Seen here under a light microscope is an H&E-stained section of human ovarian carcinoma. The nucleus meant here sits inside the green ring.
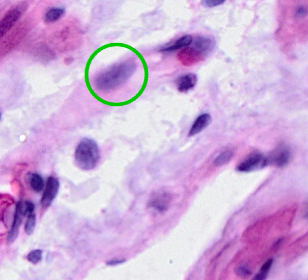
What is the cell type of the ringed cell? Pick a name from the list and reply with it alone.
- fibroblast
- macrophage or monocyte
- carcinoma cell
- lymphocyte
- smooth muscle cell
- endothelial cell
endothelial cell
